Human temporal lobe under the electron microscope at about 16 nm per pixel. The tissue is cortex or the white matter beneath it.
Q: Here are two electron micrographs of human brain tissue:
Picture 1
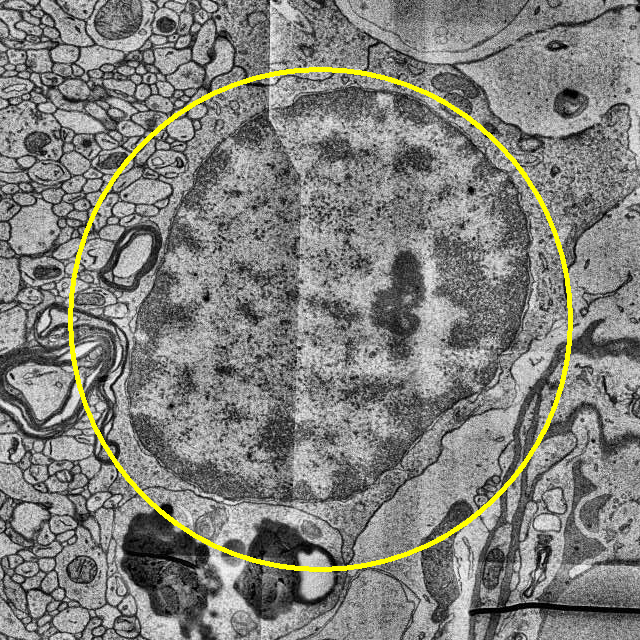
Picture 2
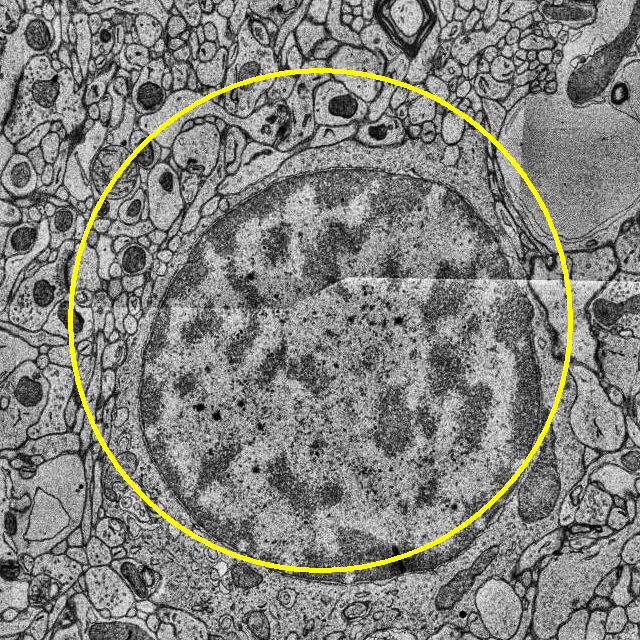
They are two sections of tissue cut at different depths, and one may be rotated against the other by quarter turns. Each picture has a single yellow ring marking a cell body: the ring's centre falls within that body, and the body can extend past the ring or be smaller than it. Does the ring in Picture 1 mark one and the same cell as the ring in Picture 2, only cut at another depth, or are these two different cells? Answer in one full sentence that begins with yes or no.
No, one ring and the other ring mark two distinct cells.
